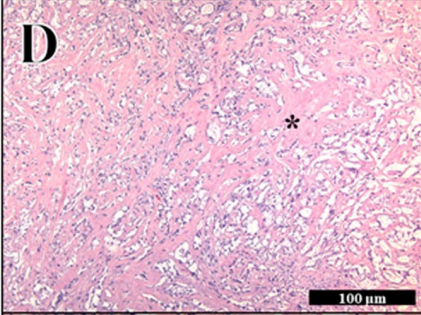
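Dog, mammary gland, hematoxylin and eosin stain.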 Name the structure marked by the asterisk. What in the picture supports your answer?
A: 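The asterisk lies in homogeneous pink glassy matrix. Scattered cells embedded in the pink matrix. The answer: osteoid.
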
